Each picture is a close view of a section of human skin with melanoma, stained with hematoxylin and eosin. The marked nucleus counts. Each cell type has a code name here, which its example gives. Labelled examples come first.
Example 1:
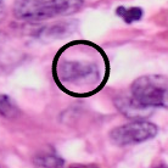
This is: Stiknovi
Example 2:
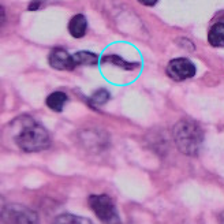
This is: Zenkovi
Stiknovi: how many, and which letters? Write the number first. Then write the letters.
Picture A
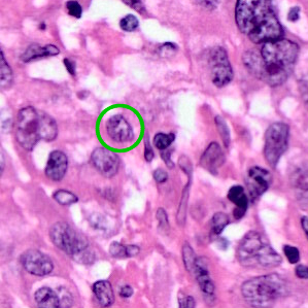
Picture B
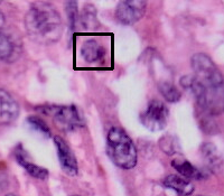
2: A, B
